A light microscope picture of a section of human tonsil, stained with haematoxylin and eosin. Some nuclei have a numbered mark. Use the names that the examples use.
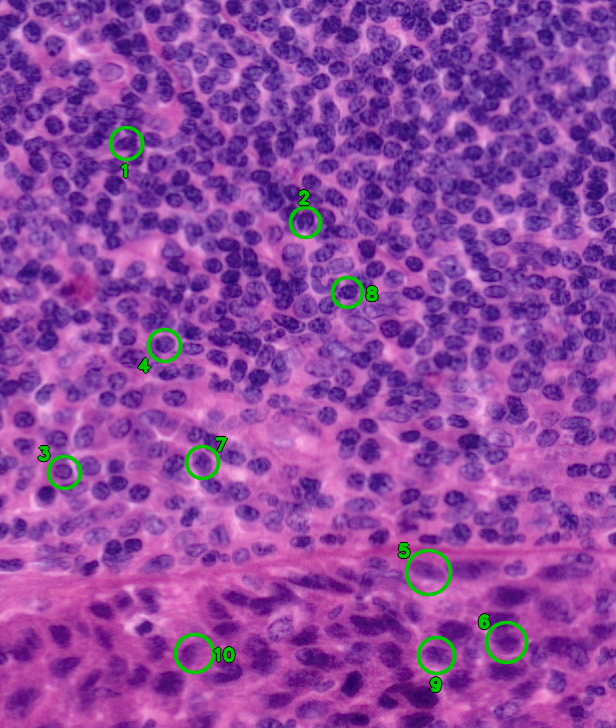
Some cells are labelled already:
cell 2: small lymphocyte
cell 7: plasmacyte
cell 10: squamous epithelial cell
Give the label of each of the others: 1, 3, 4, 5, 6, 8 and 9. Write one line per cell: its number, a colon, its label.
1: small lymphocyte
3: plasmacyte
4: small lymphocyte
5: squamous epithelial cell
6: squamous epithelial cell
8: small lymphocyte
9: squamous epithelial cell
